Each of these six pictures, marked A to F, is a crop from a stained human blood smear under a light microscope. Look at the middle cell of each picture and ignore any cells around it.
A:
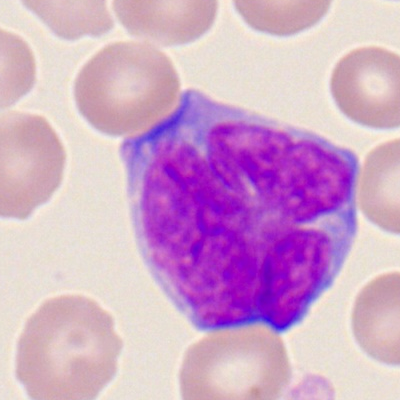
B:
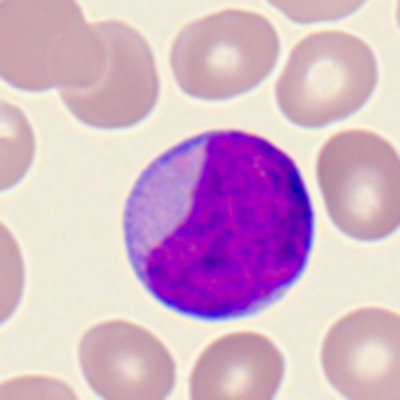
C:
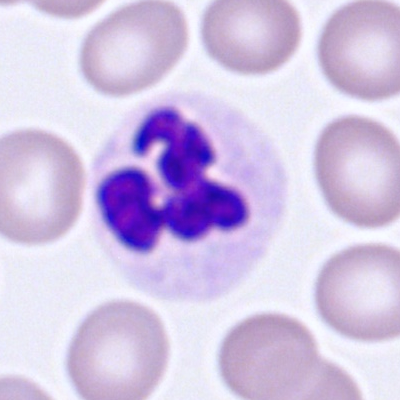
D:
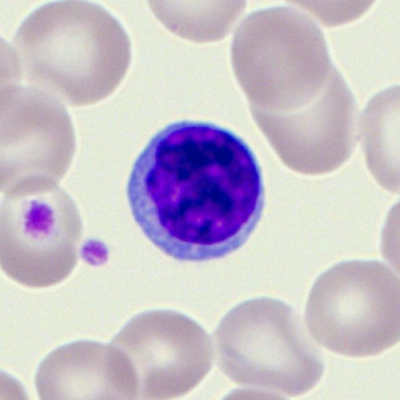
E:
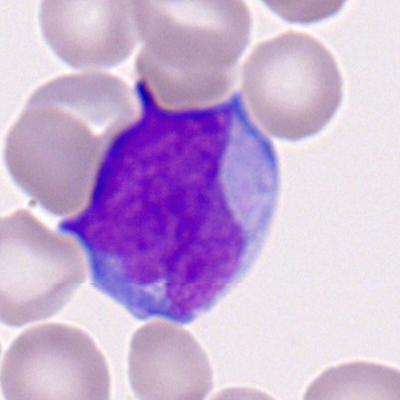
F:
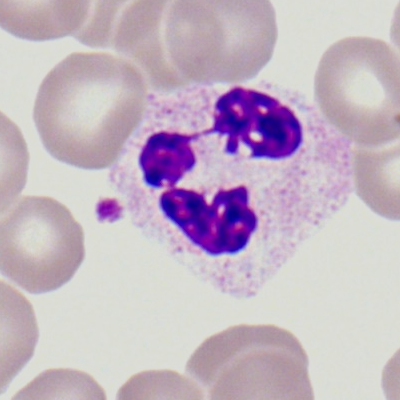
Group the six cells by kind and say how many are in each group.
myeloblast: 3
segmented neutrophil: 2
lymphocyte: 1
